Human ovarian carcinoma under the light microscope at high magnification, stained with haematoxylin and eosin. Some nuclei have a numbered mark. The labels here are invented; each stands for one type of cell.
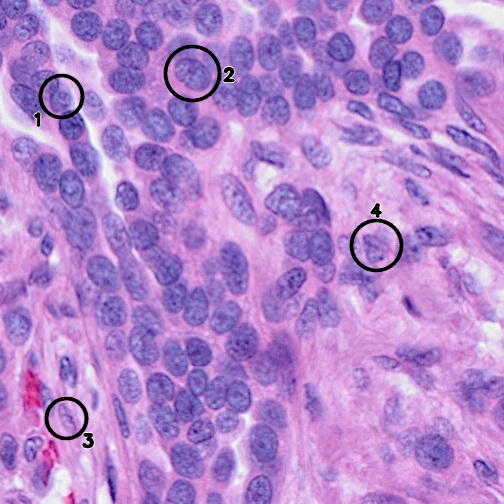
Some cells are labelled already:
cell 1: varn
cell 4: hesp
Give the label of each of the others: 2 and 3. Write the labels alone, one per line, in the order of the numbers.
varn
hesp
